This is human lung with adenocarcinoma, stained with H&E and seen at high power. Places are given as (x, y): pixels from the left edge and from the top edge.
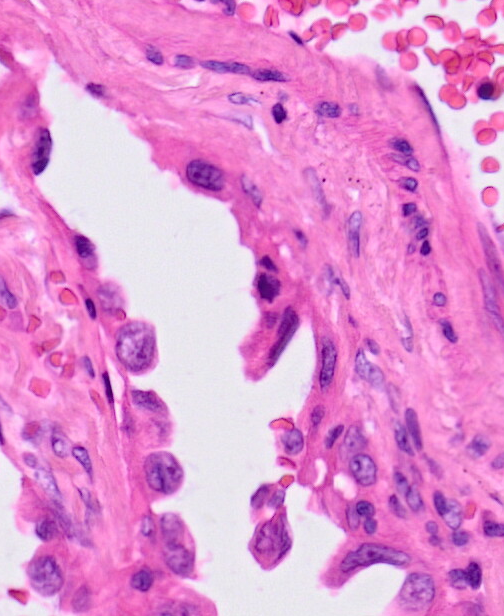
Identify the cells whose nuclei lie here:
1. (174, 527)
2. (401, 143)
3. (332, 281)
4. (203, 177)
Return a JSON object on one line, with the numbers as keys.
{"1": "carcinoma cell", "2": "smooth muscle cell or pericyte", "3": "fibroblast", "4": "carcinoma cell"}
